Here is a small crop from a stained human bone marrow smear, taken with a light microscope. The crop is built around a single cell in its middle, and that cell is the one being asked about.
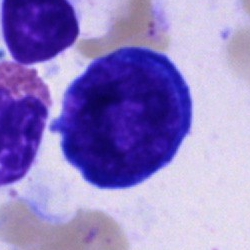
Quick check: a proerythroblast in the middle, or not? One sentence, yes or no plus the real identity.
Yes, the cell in the middle of the view is a proerythroblast.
